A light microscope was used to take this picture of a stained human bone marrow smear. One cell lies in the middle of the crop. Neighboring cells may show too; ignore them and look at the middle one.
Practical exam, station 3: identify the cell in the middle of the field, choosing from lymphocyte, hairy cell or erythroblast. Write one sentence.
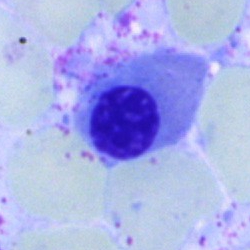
The cell found in the middle of this crop is an erythroblast.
